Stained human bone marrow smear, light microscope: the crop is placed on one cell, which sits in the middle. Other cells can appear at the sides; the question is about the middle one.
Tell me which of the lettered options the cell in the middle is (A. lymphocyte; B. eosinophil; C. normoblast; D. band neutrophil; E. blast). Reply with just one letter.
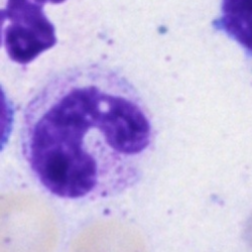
D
